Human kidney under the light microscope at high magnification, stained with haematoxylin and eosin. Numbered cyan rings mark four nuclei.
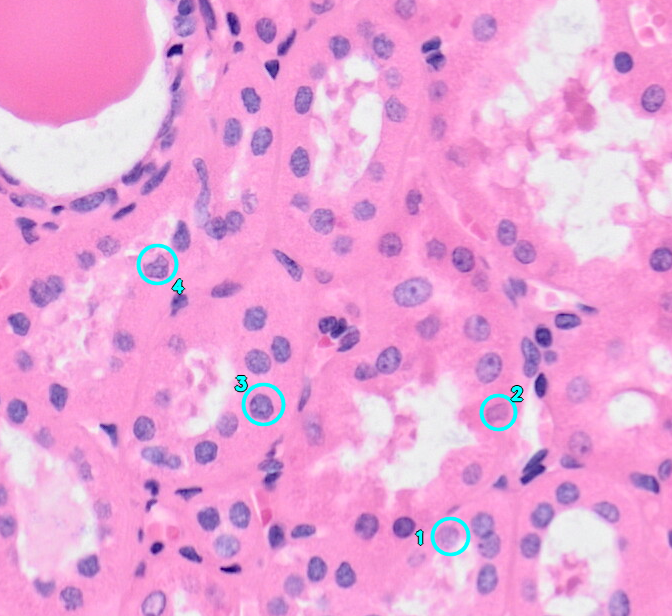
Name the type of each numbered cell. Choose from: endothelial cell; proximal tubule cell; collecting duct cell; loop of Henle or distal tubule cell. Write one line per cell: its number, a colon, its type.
1: loop of Henle or distal tubule cell
2: proximal tubule cell
3: loop of Henle or distal tubule cell
4: loop of Henle or distal tubule cell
